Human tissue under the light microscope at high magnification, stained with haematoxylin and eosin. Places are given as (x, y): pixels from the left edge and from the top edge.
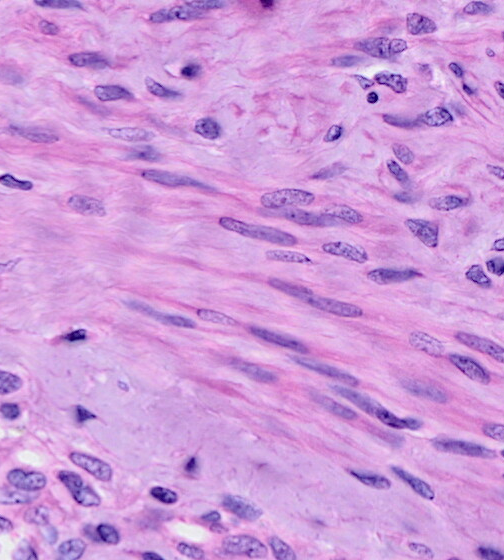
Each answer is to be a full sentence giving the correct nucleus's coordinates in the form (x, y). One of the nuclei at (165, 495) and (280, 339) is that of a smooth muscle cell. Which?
The nucleus at position (280, 339) belongs to a smooth muscle cell.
